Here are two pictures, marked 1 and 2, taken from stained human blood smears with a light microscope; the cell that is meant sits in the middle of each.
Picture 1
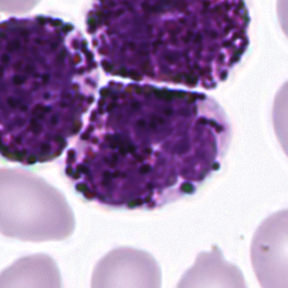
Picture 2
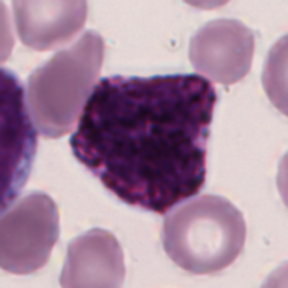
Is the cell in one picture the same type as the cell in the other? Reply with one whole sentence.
Yes, the two pictures both show basophils.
